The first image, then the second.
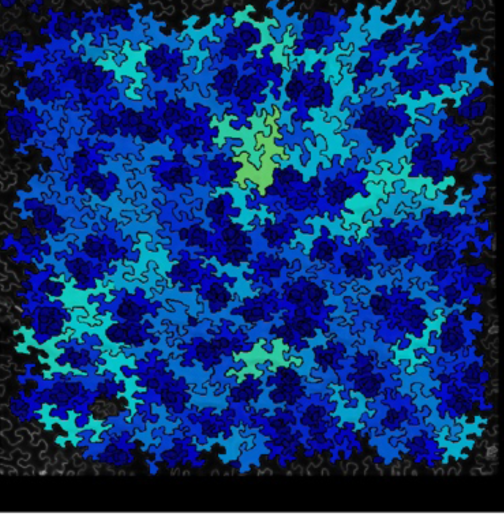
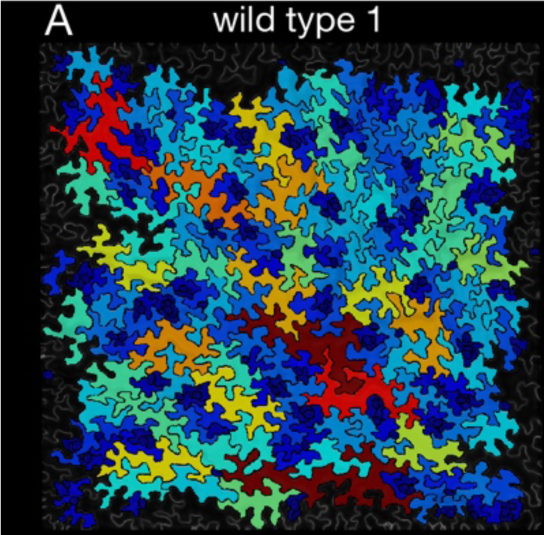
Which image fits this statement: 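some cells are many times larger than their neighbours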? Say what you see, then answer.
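Second image: several large cells are coloured red and dark red among small blue cells. On this evidence: the second image.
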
